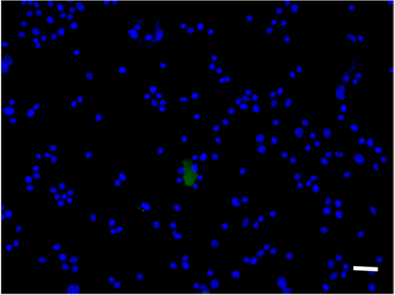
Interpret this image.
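The nuclei lie singly, in pairs or in small loose clusters, with dark gaps between them and no continuous sheet. Only one small group of cells near the centre shows green fluorescence around its nuclei. The remaining nuclei are without green signal.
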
